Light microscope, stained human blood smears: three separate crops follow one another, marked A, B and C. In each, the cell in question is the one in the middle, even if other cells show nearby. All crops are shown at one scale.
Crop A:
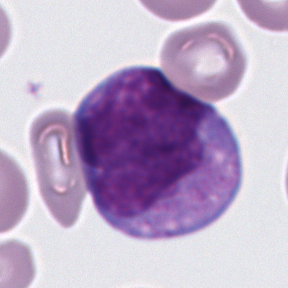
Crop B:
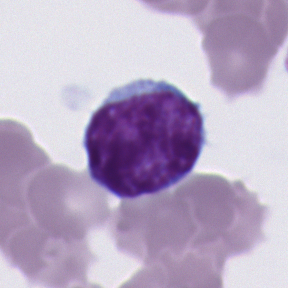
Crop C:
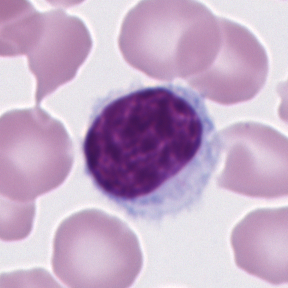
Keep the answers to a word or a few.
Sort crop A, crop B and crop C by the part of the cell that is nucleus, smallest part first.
A, C, B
